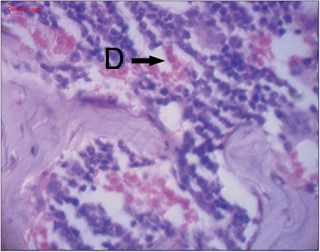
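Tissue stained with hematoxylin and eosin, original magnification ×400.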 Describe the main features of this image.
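This is bone with bone marrow, where pink bone trabeculae border marrow spaces packed with small, round, dark-blue nucleated cells. Among them lie clusters of pink-red red blood cells without nuclei.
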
